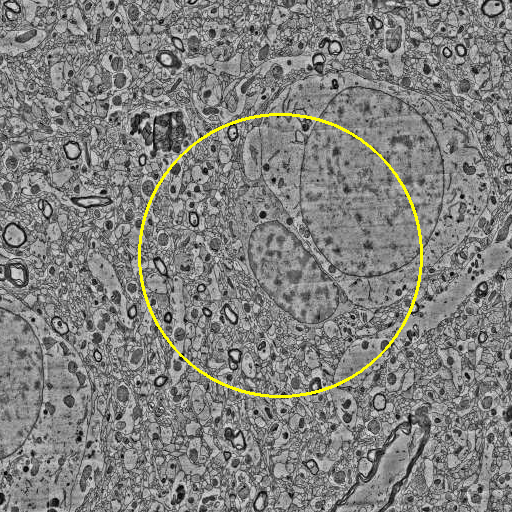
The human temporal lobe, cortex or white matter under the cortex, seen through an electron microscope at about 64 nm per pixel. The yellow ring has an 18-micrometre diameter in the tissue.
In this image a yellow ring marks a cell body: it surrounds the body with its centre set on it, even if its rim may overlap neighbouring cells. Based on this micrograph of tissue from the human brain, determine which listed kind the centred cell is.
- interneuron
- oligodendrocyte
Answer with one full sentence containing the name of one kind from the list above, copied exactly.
It is an oligodendrocyte whose body the yellow ring encloses at its centre.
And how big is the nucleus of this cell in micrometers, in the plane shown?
Clearly longer than it is wide in this plane, the nucleus measures roughly 7 by 4 micrometres.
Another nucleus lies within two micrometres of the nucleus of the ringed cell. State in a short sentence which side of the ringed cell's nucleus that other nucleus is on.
That second nucleus is to the upper right of it.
